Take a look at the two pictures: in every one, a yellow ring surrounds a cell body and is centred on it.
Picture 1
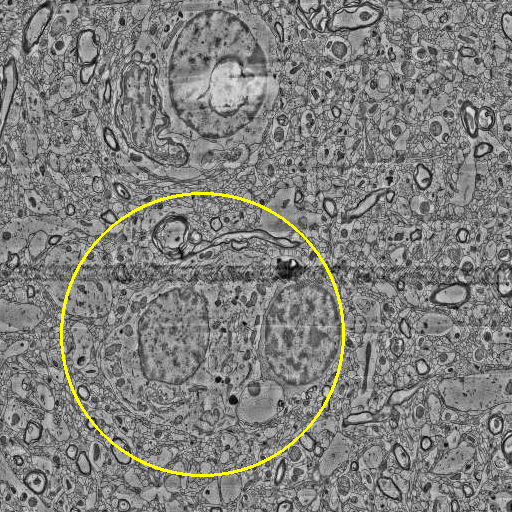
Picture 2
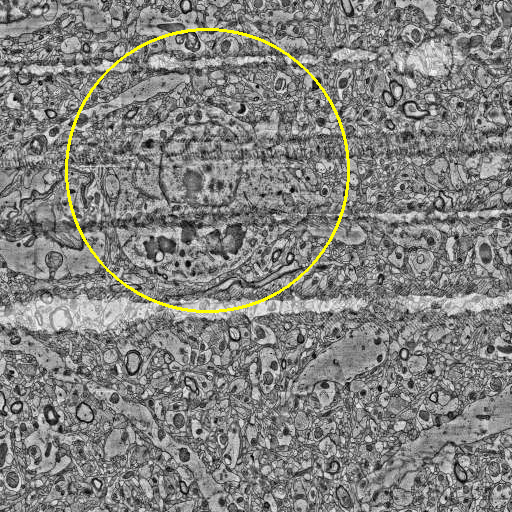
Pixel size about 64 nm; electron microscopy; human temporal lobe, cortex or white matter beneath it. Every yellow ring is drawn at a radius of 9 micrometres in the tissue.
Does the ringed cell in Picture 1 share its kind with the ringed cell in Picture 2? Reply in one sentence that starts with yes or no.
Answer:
Yes, the two centred cells, one per picture, are of one kind.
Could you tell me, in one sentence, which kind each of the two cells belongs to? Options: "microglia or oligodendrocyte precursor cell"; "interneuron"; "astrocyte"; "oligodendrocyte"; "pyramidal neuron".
The first and the second cell are each an interneuron.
